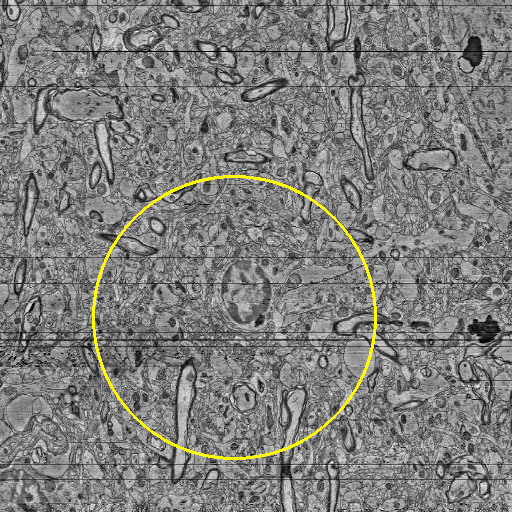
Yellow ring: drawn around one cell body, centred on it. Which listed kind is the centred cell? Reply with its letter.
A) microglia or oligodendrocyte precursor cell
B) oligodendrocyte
A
